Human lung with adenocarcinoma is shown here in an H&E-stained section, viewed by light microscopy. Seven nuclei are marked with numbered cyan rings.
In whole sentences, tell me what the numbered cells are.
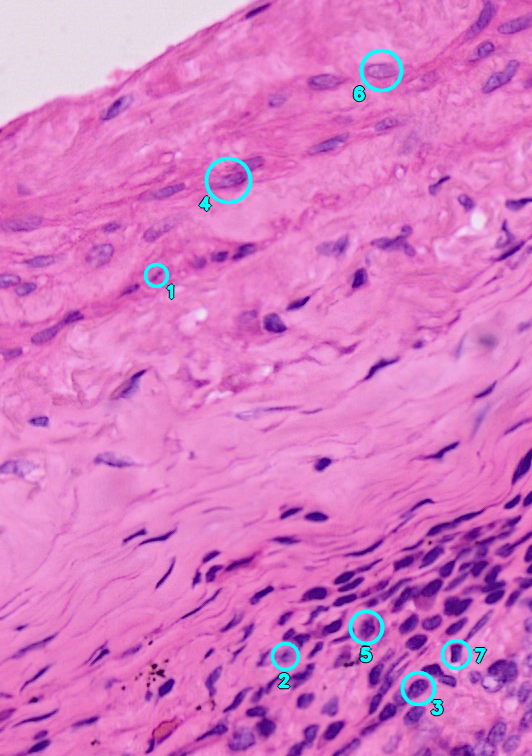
Cell 1 is a smooth muscle cell or pericyte, cell 2 is a lymphocyte, cell 3 is a lymphocyte, cell 4 is a smooth muscle cell or pericyte, cell 5 is a plasma cell, cell 6 is a smooth muscle cell or pericyte and cell 7 is a lymphocyte.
